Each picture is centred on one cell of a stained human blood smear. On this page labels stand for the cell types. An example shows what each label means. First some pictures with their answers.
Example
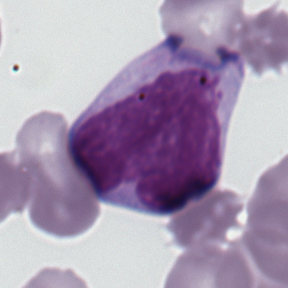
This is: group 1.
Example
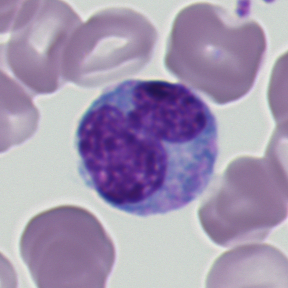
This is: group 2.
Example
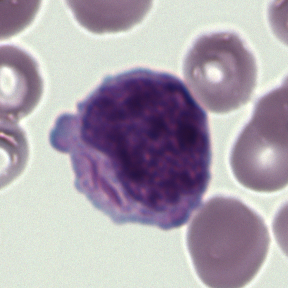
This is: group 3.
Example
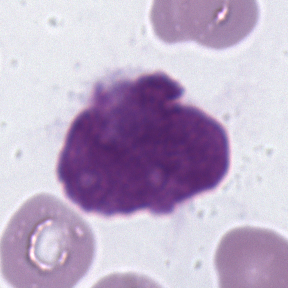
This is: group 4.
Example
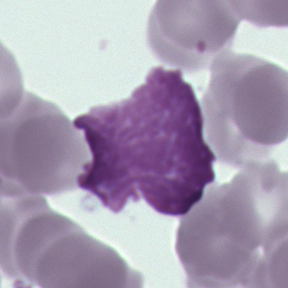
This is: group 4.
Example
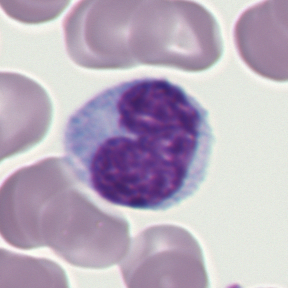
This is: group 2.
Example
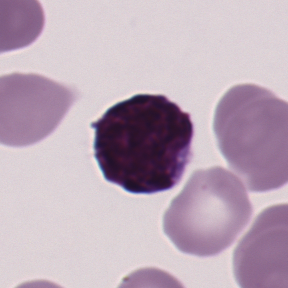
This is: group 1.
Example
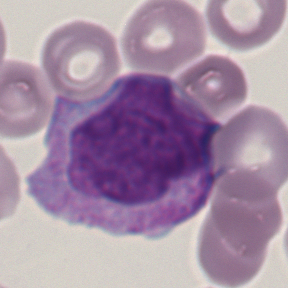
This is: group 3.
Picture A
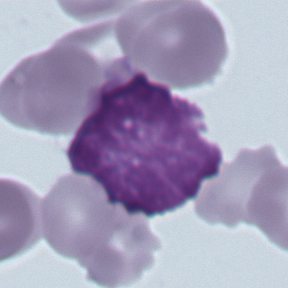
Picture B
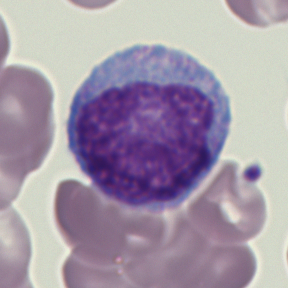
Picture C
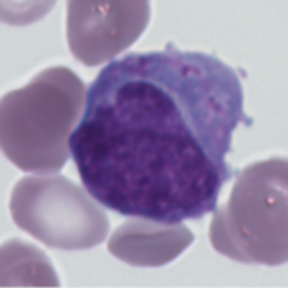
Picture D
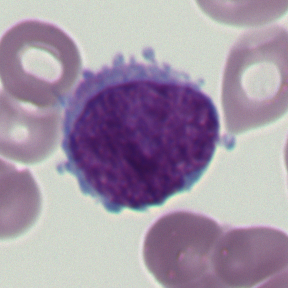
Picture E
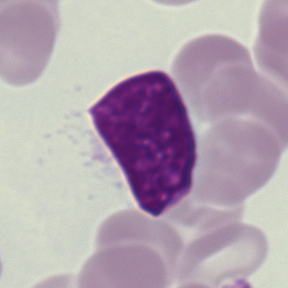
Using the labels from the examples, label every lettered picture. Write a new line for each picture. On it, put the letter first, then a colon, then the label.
A: group 4.
B: group 2.
C: group 3.
D: group 3.
E: group 4.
